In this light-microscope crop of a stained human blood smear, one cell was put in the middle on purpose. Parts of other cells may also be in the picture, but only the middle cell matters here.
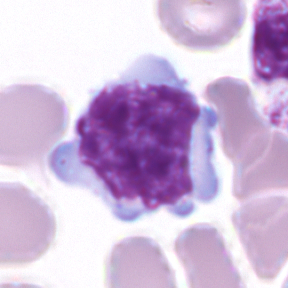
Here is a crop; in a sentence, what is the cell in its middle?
Centred in the crop is a plasma cell.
